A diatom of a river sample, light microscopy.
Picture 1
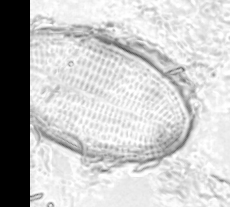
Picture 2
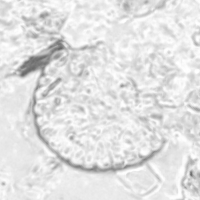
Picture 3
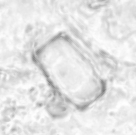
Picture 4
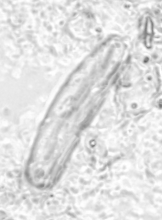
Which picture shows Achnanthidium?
Picture 4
